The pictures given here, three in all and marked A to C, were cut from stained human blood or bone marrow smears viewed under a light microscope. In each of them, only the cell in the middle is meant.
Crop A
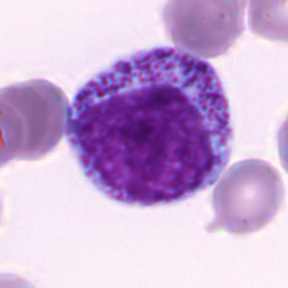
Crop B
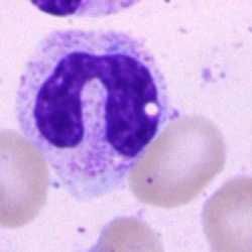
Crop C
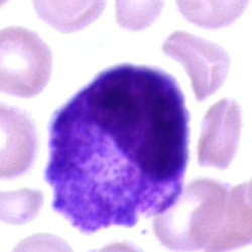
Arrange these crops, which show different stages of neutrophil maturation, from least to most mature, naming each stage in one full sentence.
The maturation sequence, from earliest to latest, is crop C (a promyelocyte), crop A (a myelocyte) and crop B (a band neutrophil).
